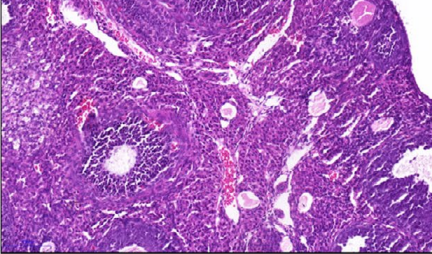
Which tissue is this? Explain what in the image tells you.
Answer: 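Ovary. Several follicles with rings of darkly stained cells around small cavities. Stroma with blood vessels lies between the follicles.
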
